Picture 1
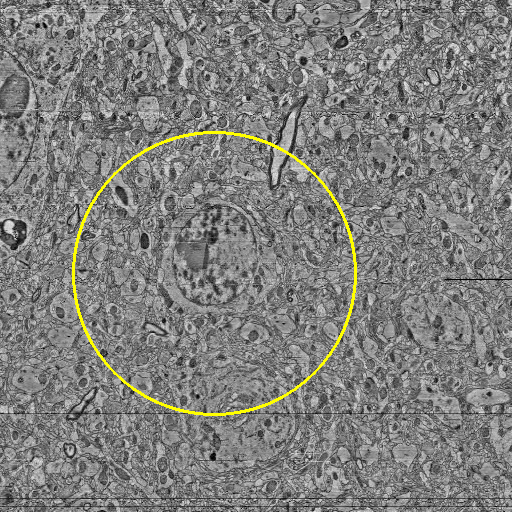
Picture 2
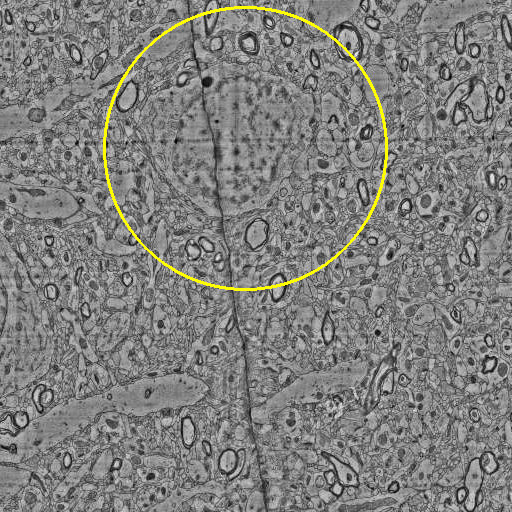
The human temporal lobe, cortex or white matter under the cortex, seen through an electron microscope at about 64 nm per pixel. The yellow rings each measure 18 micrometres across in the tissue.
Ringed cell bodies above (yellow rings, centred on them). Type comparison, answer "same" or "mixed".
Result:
same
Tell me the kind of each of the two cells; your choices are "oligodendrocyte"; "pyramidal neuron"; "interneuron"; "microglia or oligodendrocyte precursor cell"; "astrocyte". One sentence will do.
Both pictures show an interneuron at the centre of the ring.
